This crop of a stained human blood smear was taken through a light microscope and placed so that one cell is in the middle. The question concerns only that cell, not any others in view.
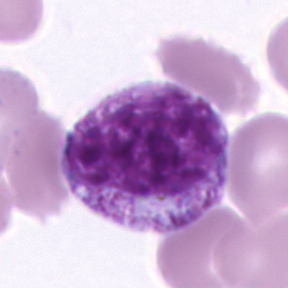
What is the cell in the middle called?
myelocyte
